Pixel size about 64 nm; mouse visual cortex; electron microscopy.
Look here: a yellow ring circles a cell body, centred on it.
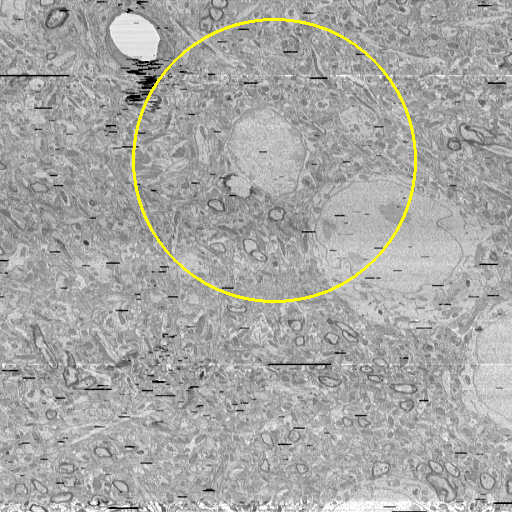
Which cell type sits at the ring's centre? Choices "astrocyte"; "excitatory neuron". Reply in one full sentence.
The cell at the centre of the yellow ring in the picture is an astrocyte.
